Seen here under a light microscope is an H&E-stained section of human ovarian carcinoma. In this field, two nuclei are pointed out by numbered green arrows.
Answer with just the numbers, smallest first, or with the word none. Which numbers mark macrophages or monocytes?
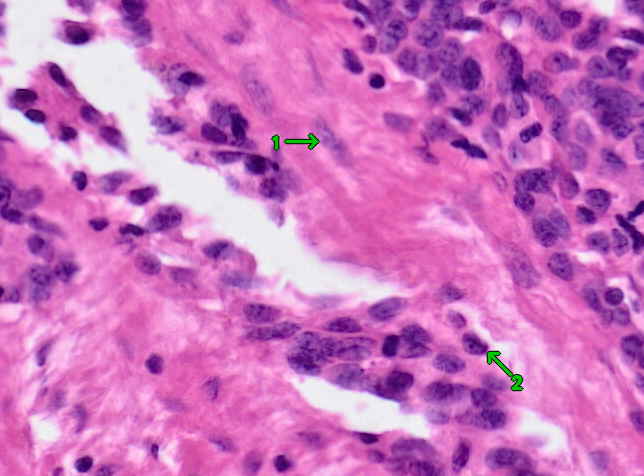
2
